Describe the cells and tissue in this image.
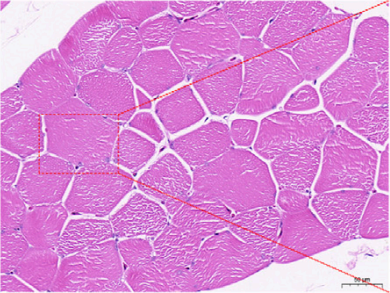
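Cross-section of skeletal muscle showing large, closely packed myofibers of polygonal outline. The fibers have evenly pink, eosinophilic cytoplasm, and in places the cut surface shows fine cleft-like marks. Small dark purple nuclei are few and sit at the edges of the fibers, pressed against the surrounding thin connective tissue. The fibers vary somewhat in size but are generally large and fill the field with little space between them.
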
